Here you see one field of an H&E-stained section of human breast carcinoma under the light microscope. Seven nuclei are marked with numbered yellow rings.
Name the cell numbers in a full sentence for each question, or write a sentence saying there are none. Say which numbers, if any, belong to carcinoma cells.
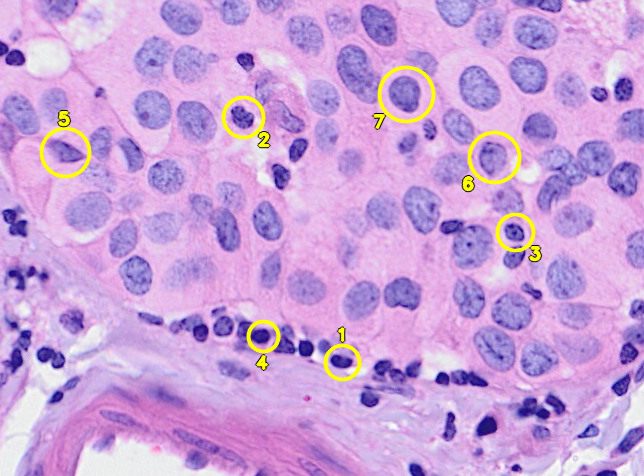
Cells 5, 6 and 7 are of one type, namely carcinoma cells.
